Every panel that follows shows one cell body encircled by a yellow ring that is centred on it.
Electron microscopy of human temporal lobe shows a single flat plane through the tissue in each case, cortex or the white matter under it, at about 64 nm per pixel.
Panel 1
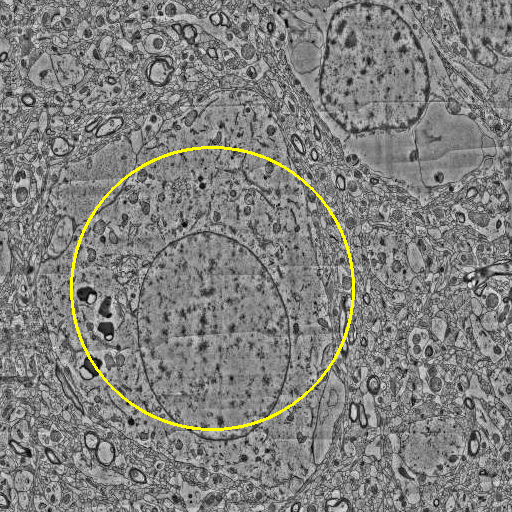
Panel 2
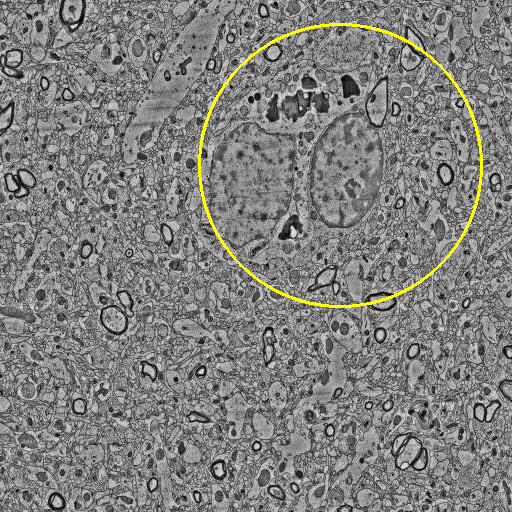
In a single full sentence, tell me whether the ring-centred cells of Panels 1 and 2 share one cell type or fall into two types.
In Panel 1 and Panel 2, the cells at the ring centres fall into two types.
